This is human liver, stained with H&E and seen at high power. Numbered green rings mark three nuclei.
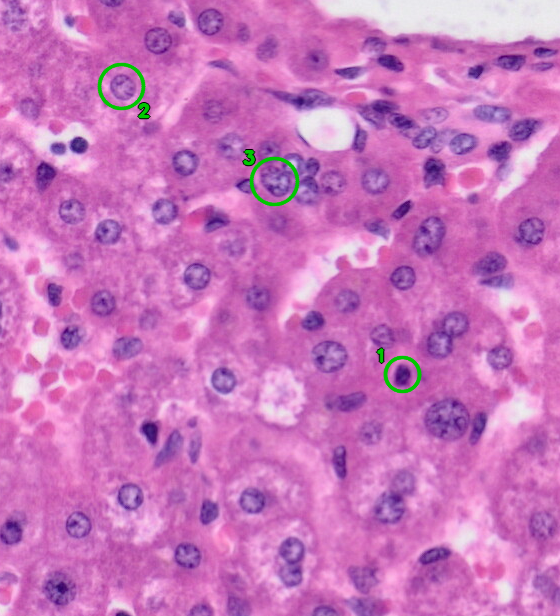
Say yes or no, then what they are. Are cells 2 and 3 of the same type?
No, cell 2 is a hepatocyte, and cell 3, for its part, is a cholangiocyte.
